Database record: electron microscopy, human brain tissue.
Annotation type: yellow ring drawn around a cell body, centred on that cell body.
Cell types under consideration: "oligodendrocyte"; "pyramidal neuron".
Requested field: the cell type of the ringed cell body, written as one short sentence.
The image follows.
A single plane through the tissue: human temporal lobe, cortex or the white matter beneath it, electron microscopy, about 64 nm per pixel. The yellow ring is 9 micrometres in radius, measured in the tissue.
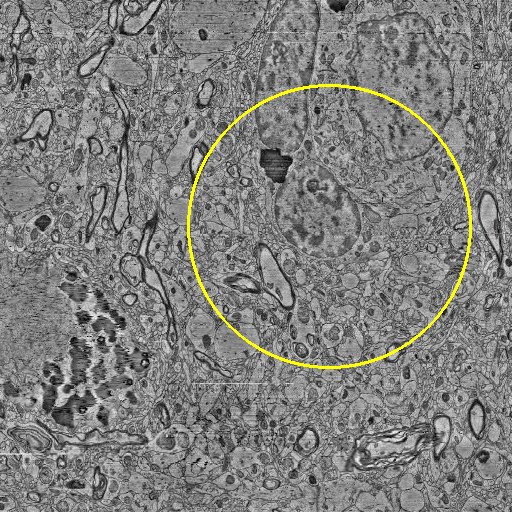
The ringed cell body represents an oligodendrocyte.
